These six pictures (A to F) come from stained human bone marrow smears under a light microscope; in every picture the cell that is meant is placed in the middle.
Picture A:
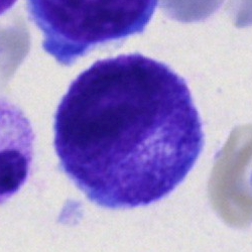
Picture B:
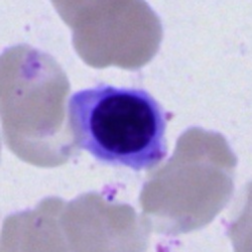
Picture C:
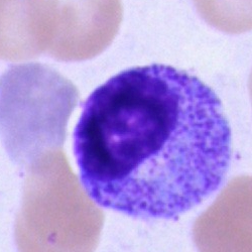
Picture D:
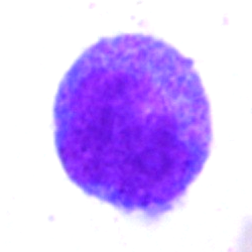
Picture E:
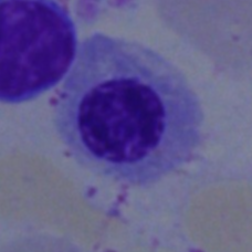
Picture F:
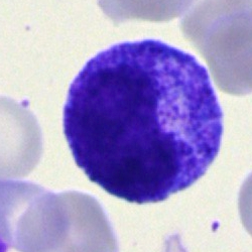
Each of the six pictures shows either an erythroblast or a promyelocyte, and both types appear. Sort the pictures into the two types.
A: promyelocyte
B: erythroblast
C: promyelocyte
D: promyelocyte
E: erythroblast
F: promyelocyte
